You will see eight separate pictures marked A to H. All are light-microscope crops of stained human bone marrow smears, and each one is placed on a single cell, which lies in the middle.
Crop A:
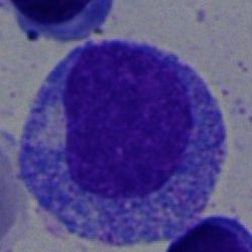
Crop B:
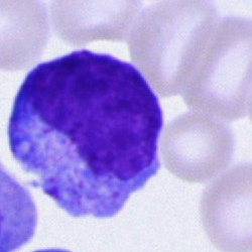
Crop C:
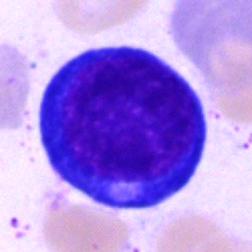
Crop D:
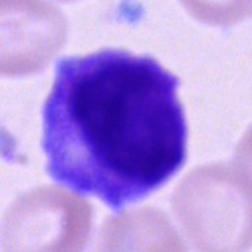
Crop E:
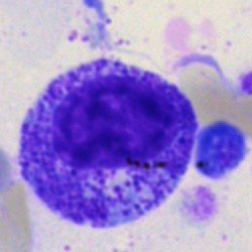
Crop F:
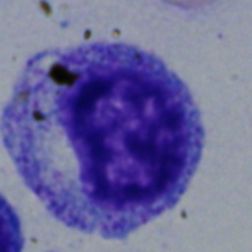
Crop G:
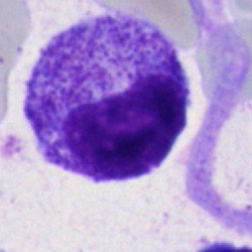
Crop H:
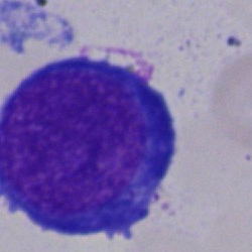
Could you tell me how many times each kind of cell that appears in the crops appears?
myelocyte: 4
promyelocyte: 2
proerythroblast: 2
